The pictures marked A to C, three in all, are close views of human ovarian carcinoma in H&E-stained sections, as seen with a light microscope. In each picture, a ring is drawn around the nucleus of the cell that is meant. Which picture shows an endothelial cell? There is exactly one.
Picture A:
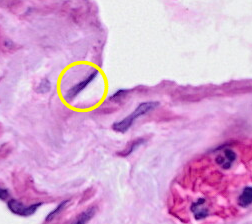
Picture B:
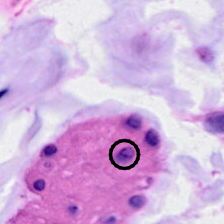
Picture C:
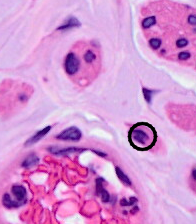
A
